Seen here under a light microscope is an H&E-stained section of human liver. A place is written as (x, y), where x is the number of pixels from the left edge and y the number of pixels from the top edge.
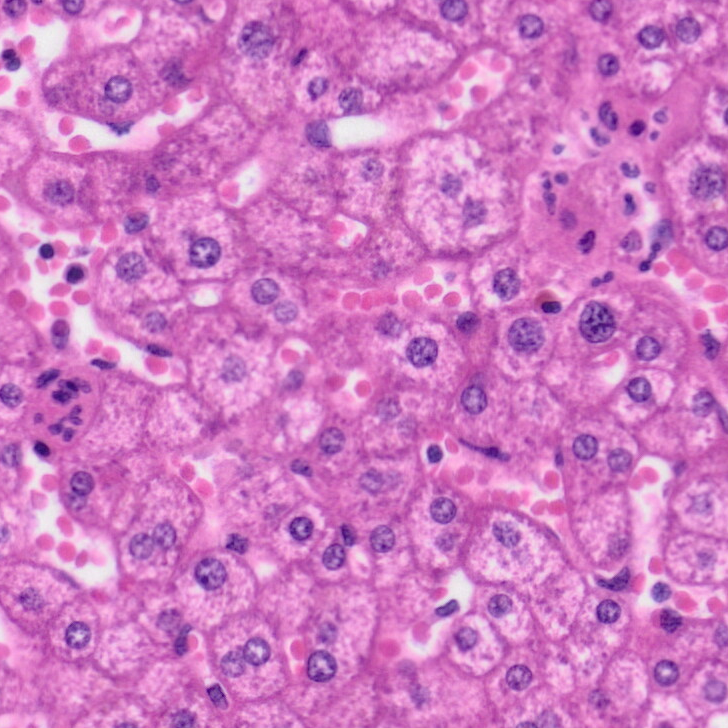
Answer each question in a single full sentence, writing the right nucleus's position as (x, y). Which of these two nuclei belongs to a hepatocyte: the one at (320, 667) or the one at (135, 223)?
Of the two nuclei, the one sitting at (320, 667) belongs to a hepatocyte.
